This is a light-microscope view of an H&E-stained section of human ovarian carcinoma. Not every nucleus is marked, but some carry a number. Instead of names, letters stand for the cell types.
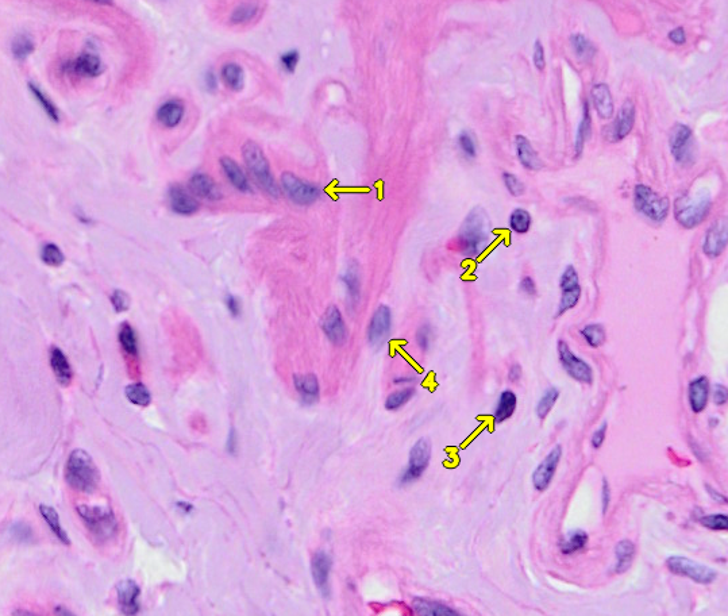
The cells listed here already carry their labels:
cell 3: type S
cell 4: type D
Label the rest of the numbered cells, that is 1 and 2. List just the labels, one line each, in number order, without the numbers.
type D
type S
